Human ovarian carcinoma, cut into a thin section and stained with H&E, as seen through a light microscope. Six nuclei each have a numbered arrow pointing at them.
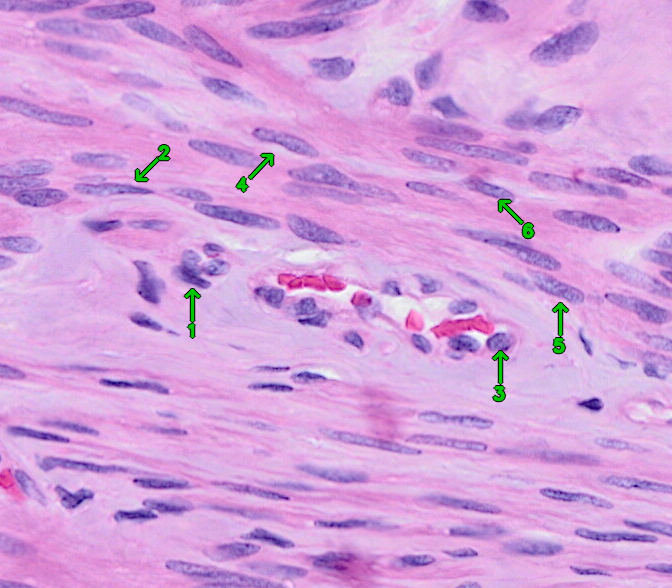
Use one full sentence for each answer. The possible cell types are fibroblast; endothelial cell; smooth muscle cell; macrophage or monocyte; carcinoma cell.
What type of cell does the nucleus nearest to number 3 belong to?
The cell nearest to number 3 is an endothelial cell.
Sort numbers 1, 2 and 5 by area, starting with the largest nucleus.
The nuclei rank 5, 1, 2, from largest to smallest.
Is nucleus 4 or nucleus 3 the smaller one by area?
With nucleus 4 about 2 times its size, nucleus 3 is the smaller of the two.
